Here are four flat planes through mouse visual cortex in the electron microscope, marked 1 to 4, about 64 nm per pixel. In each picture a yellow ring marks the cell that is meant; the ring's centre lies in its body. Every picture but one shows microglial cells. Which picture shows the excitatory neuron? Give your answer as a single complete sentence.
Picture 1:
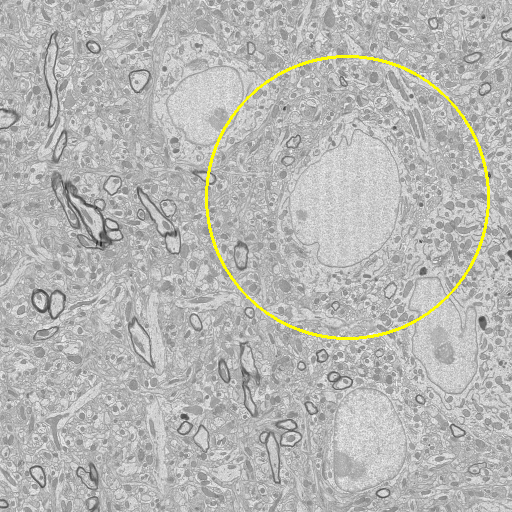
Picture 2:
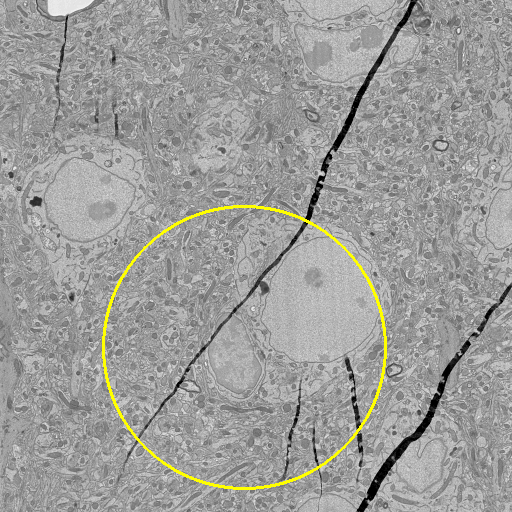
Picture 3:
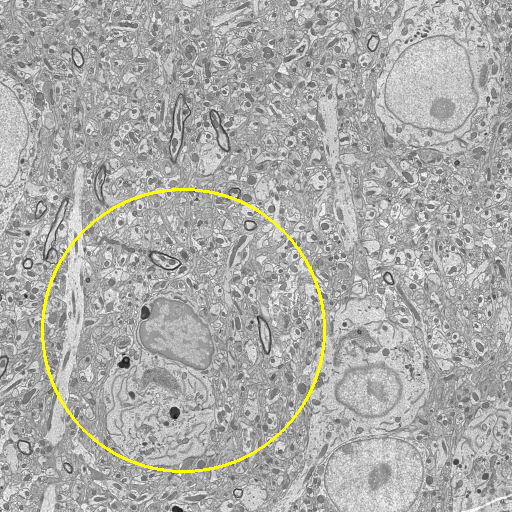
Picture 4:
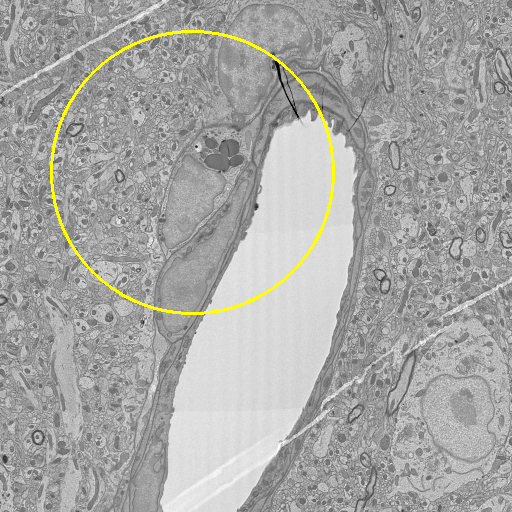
It is picture 1 that shows the excitatory neuron.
